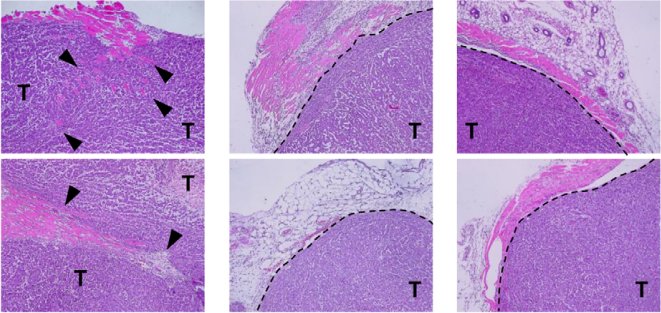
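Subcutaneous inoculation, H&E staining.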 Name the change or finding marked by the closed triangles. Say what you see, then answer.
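Black triangles point to places where the dense purple cellular mass intermingles with pink tissue. No sharp border separates the cellular mass from the surrounding pink tissue in the images with triangles.
Answer: invasion of cancer cell in normal tissue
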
